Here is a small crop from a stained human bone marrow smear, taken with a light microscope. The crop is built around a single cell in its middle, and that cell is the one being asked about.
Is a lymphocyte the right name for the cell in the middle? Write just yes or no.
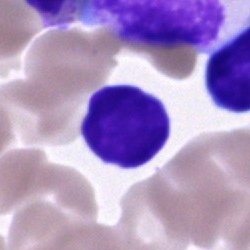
yes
